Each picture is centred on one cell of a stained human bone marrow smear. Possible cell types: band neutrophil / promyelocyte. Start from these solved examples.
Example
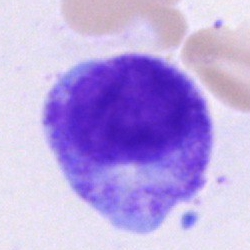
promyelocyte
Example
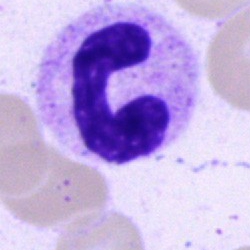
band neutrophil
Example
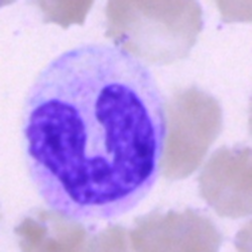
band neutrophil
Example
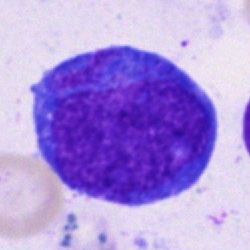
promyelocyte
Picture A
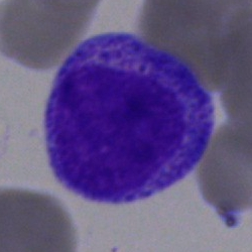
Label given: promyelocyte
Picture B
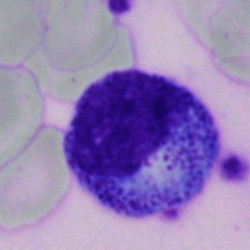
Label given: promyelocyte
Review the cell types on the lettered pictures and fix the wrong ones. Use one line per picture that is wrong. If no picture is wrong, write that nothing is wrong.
No label is wrong.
